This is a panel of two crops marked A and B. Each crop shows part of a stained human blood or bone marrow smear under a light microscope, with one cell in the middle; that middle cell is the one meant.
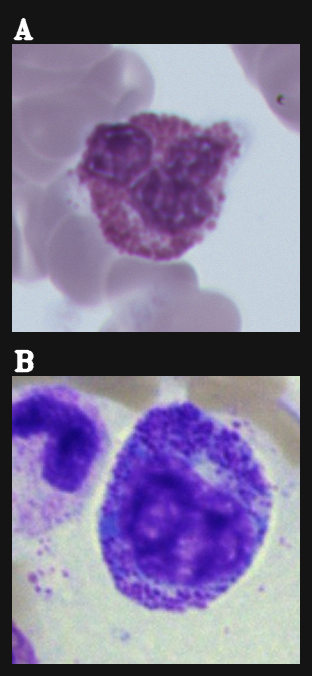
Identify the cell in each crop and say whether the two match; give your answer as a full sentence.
No, in this case crop A shows an eosinophil, and crop B shows a myelocyte.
